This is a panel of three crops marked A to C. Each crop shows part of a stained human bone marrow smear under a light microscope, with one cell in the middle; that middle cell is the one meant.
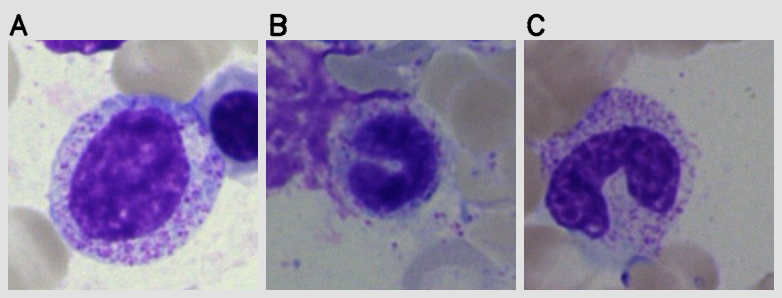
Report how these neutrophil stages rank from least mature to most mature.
A, B, C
